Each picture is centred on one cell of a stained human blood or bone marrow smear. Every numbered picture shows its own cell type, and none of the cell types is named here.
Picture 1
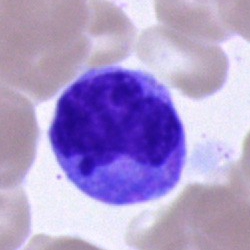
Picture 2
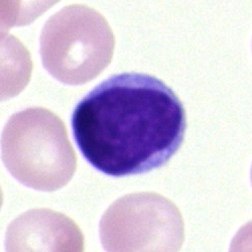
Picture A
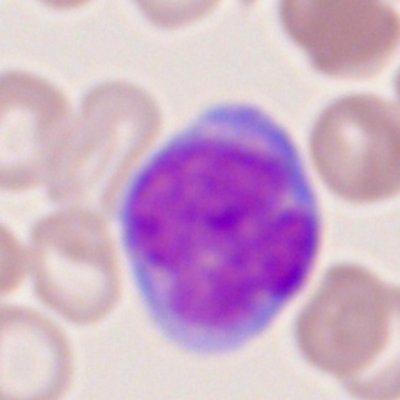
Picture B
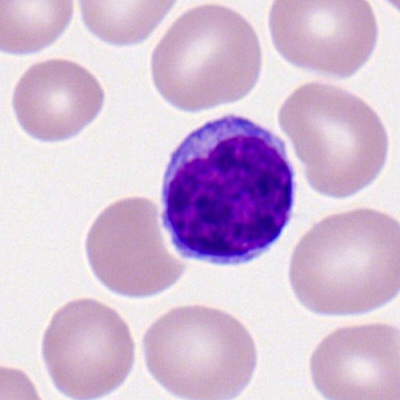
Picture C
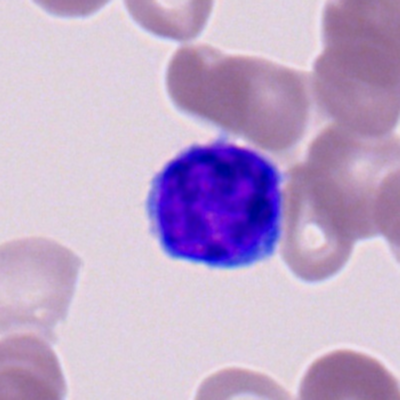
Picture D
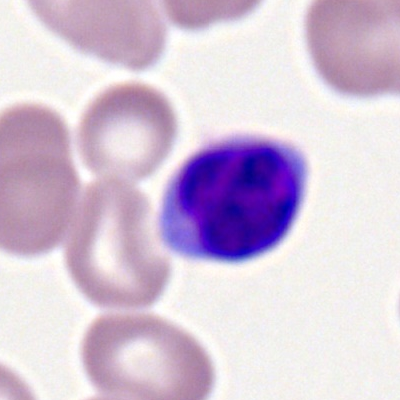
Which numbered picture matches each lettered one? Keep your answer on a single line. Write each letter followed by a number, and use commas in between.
A 1, B 2, C 2, D 2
